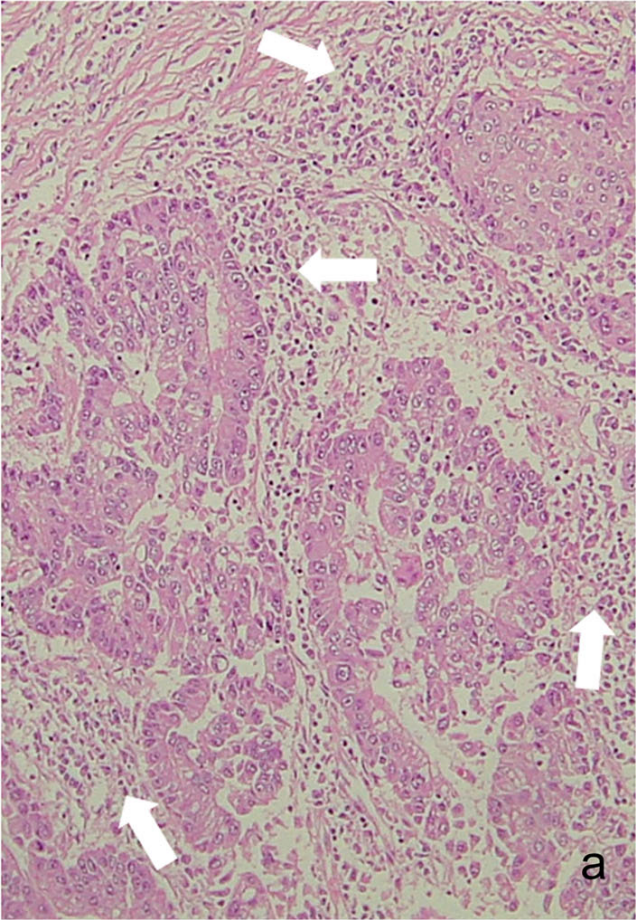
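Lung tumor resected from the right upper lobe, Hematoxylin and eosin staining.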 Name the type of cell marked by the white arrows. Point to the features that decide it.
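The arrows point to crowded small cells with dark round nuclei and scant cytoplasm. These small cells lie in the stroma between nests of large pink tumor cells. So: inflammatory cells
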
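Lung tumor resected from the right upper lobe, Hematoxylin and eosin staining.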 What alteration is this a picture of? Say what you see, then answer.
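Acinar type. Large atypical cells with prominent nucleoli are arranged around gland-like spaces. Tumor cell groups form tubular and acinar structures separated by stroma.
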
